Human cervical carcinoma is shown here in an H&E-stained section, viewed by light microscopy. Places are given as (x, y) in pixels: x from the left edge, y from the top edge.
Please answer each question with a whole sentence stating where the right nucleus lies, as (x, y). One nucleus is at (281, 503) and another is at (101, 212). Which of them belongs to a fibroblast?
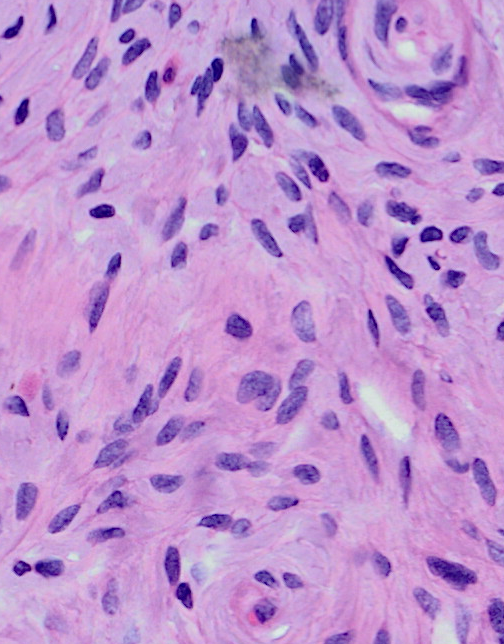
The nucleus at (281, 503) is part of a fibroblast, while the other is not.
